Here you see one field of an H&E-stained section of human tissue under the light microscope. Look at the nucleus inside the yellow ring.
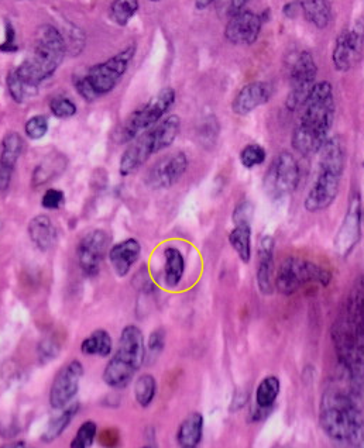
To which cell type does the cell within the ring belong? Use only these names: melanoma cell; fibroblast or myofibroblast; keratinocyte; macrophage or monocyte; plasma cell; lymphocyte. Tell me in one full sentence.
Microscopically, the cell within the ring is categorized as a lymphocyte.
